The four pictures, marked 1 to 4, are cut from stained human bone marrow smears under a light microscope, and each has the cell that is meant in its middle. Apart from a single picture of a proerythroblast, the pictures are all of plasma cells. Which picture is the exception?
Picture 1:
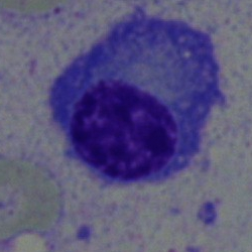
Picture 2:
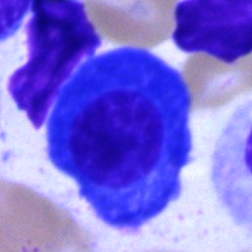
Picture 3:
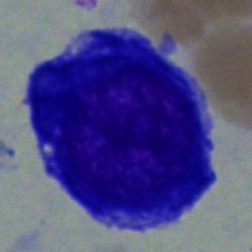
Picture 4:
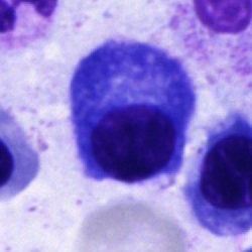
3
